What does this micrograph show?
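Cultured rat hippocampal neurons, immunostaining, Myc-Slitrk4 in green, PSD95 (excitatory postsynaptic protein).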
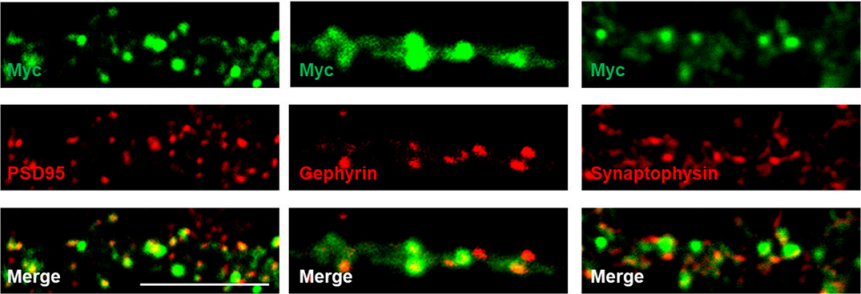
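The green label forms round, bright puncta of varying size along the processes. The red label also forms small discrete puncta. In the merged images some red puncta sit on or right beside green puncta, giving yellow or orange overlap, while other puncta of either colour stand apart.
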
